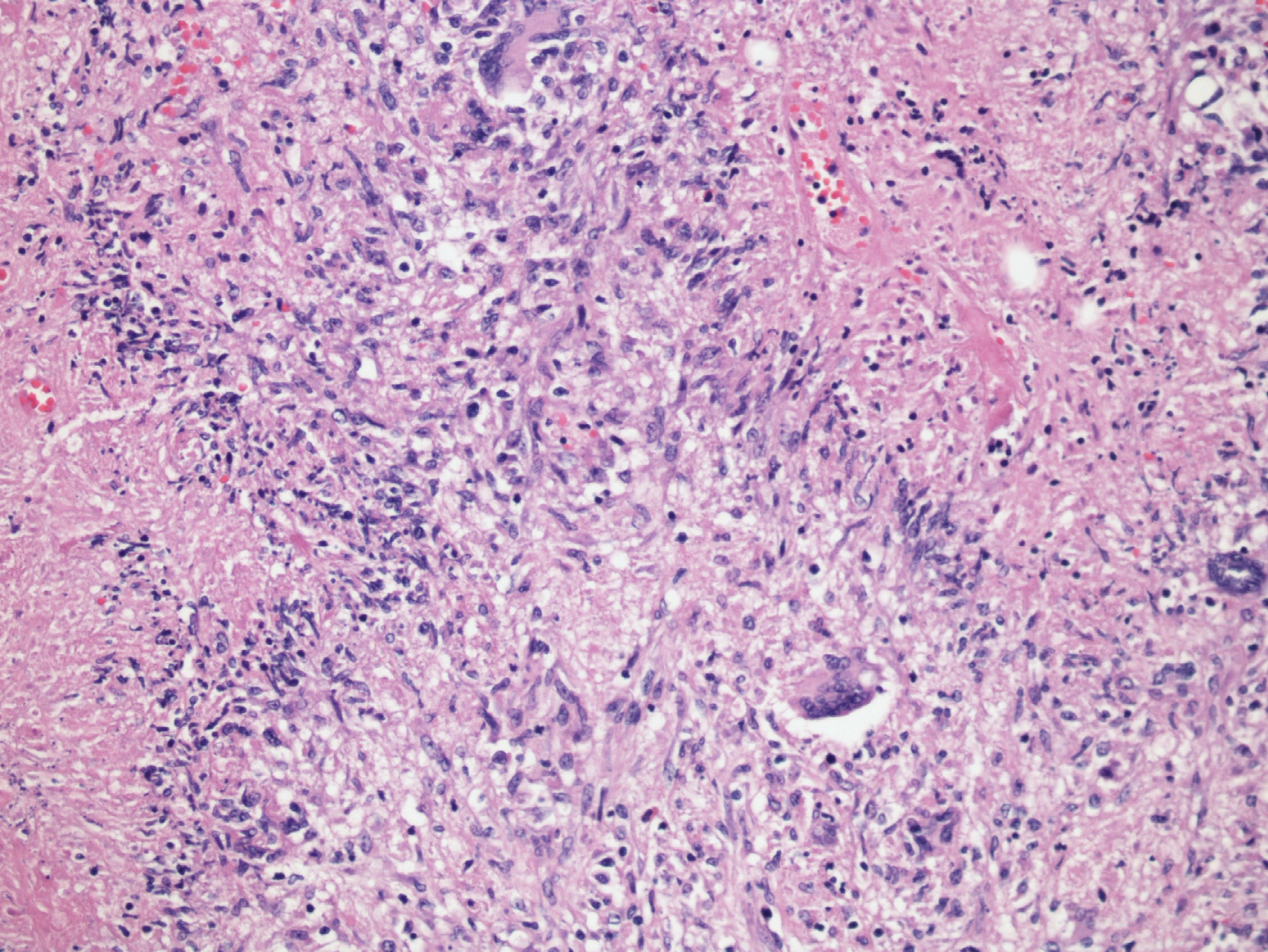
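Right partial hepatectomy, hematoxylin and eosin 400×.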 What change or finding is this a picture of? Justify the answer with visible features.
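Pale pink, structureless necrotic areas lie at the edges, especially on the left. Dense infiltrates of elongated and round inflammatory cells lie beside the necrosis. Multinucleated giant cells are scattered within the infiltrate.
Answer: Necrotizing granulomatous inflammation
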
